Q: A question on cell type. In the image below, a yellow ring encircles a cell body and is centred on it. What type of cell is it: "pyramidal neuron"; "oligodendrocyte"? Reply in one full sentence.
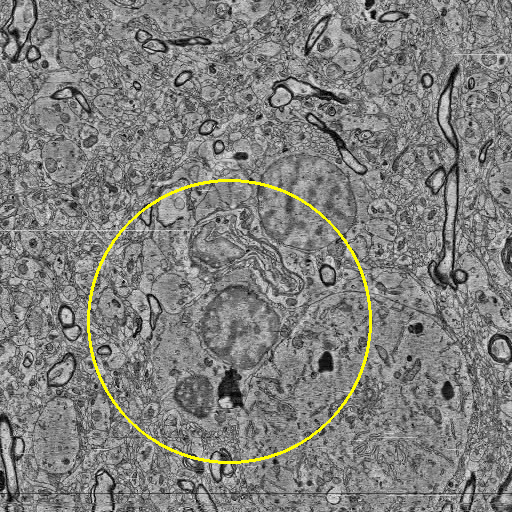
It is an oligodendrocyte whose cell body sits at the centre of the yellow ring in the image.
